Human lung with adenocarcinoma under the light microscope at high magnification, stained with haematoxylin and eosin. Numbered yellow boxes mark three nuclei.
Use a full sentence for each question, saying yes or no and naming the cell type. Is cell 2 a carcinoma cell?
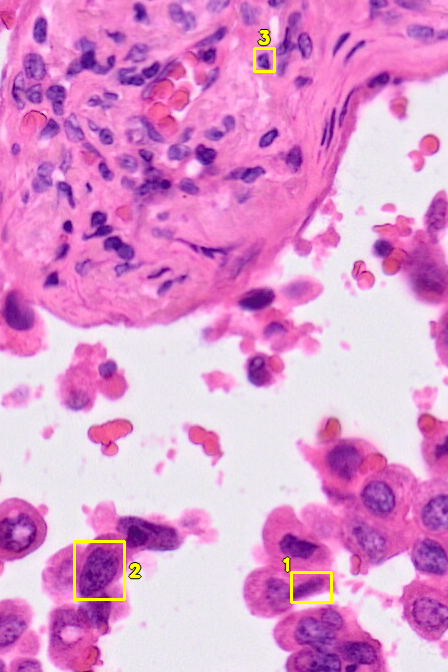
Yes, the cell indicated by number 2 is a carcinoma cell.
